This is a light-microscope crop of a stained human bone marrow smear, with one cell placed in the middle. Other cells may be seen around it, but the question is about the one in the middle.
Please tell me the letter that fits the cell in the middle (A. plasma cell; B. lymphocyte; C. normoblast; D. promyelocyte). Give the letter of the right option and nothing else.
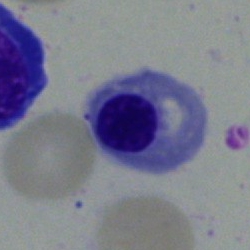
C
